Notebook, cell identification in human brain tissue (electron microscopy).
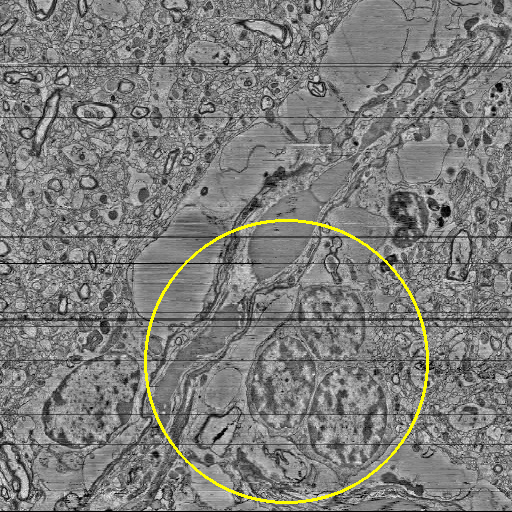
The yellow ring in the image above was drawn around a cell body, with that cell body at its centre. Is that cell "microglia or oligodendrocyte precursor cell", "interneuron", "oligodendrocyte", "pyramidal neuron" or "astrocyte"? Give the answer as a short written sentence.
The cell in the ring is an oligodendrocyte.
